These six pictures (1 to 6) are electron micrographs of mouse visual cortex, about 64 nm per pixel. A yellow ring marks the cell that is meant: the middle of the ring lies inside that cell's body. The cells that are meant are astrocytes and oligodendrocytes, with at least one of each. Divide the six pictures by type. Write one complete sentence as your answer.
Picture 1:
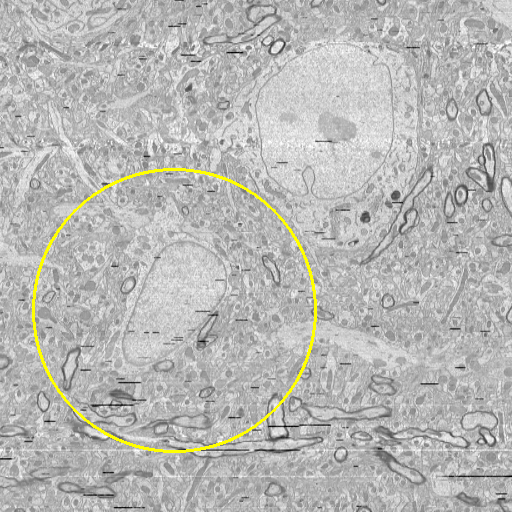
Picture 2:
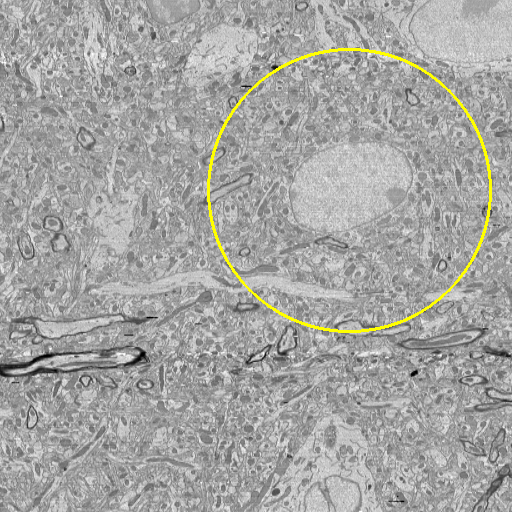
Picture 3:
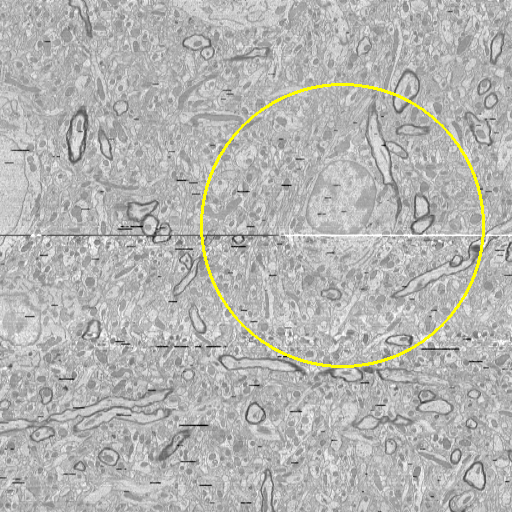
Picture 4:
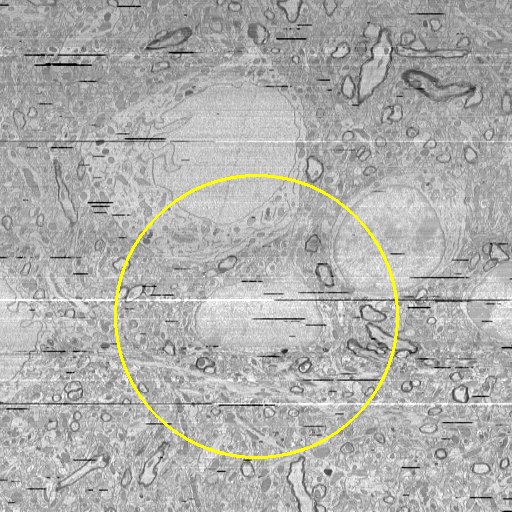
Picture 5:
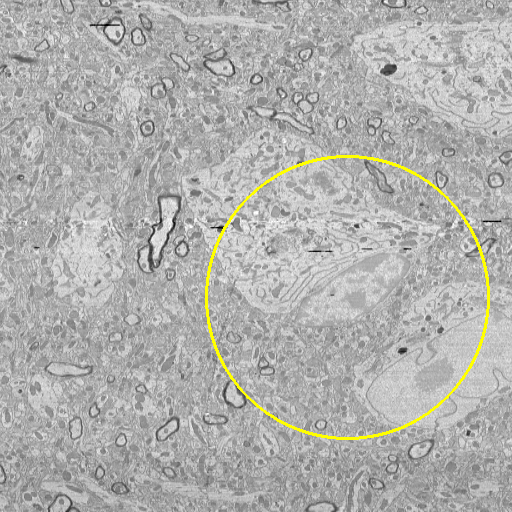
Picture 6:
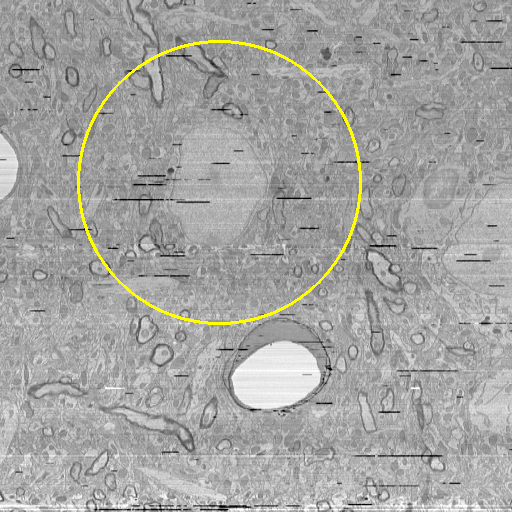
Pictures 1, 2, 4 and 6 show astrocytes; pictures 3 and 5 show oligodendrocytes.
